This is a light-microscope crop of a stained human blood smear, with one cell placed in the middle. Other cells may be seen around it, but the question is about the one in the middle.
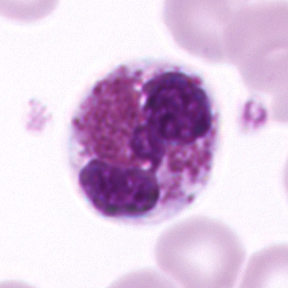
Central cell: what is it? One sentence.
The cell at the centre of the field is an eosinophil.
